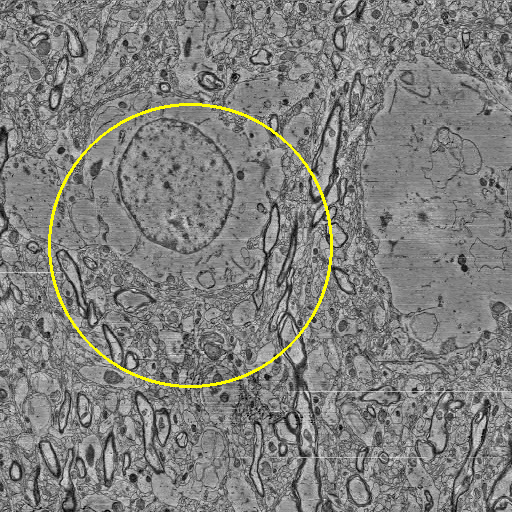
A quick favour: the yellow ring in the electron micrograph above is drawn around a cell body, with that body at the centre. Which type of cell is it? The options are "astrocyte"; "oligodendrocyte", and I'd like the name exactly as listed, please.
astrocyte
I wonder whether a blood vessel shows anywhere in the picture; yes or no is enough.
Yes, one shows.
